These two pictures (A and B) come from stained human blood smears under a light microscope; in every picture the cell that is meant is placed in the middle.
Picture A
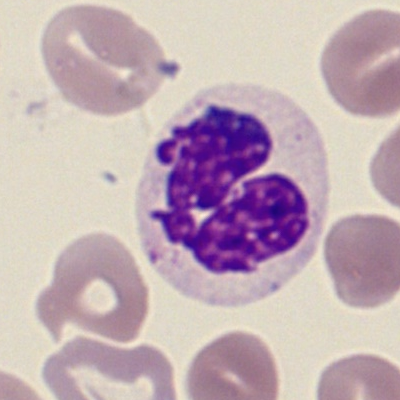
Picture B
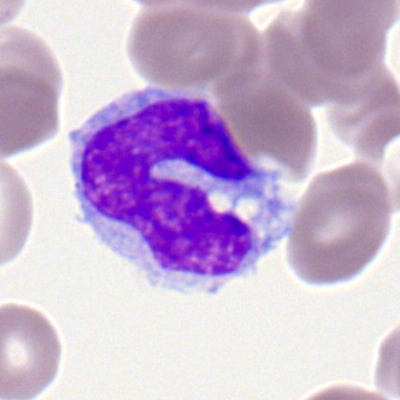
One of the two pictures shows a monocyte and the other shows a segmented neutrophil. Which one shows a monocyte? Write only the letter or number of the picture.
B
